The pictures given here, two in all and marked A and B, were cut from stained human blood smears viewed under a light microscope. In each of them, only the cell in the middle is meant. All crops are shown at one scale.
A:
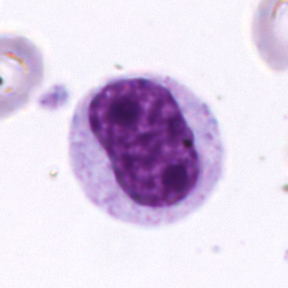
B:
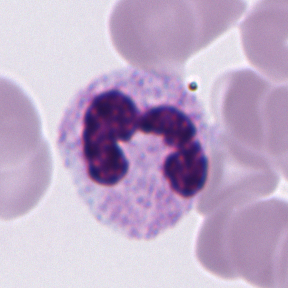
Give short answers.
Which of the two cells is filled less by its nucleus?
B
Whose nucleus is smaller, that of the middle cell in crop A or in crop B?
B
